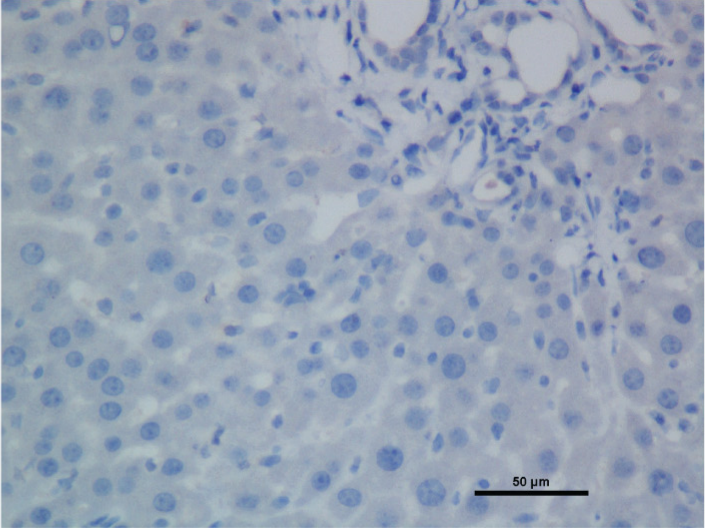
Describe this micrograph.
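This is liver tissue showing plates of hepatocytes with no brown-stained cells between them. The hepatocytes are large polygonal cells with pale cytoplasm and round blue nuclei, separated by narrow pale spaces. In the upper right lies a portal area with open vessels surrounded by loose connective tissue containing small, elongated dark blue nuclei.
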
